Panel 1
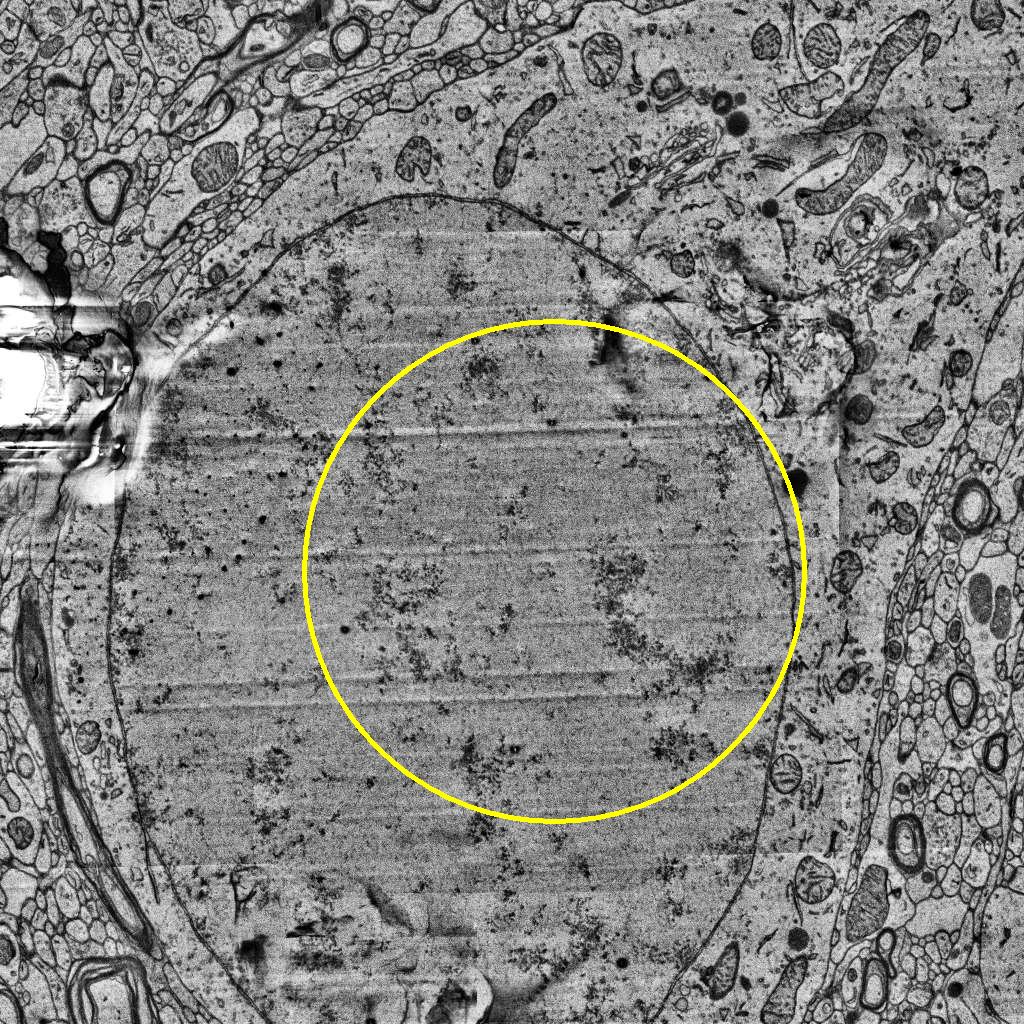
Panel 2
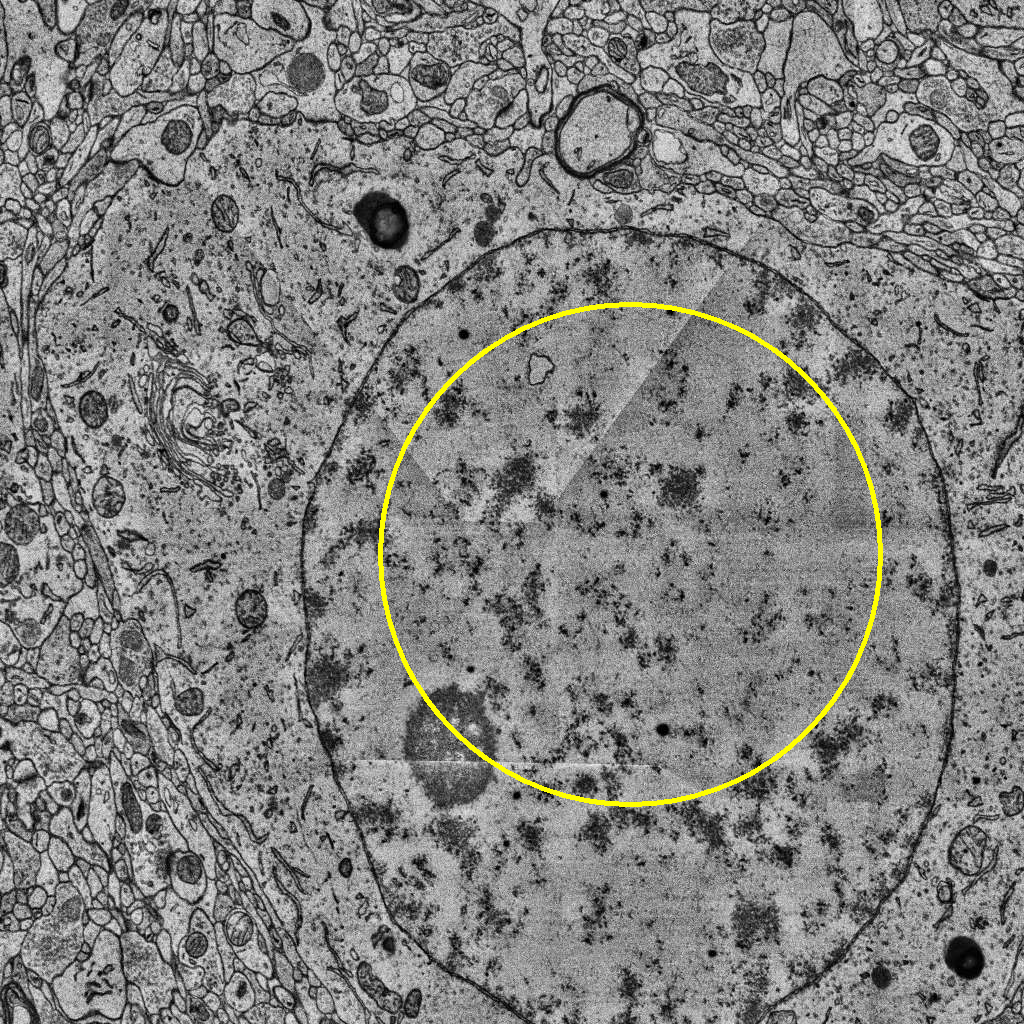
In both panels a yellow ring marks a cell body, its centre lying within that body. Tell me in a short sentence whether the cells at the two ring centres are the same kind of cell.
Yes, they are the same kind of cell.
